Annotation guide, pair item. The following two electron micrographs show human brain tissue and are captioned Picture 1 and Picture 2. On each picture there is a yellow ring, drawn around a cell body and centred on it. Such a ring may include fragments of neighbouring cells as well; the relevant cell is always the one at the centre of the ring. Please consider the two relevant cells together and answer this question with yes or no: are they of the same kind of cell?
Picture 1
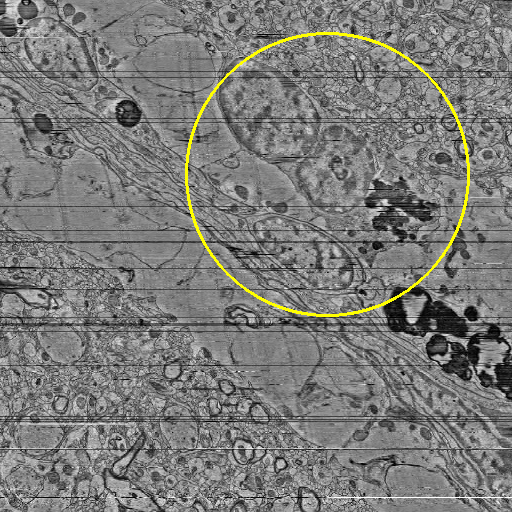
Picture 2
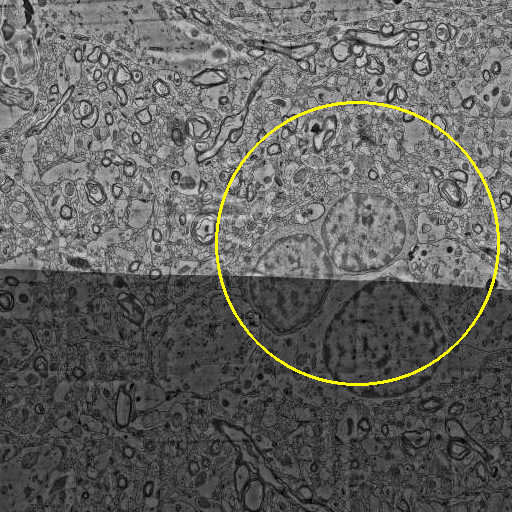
yes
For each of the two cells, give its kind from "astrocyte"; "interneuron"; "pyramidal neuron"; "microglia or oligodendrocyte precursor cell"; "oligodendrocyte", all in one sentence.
In each picture the ringed cell is an oligodendrocyte.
